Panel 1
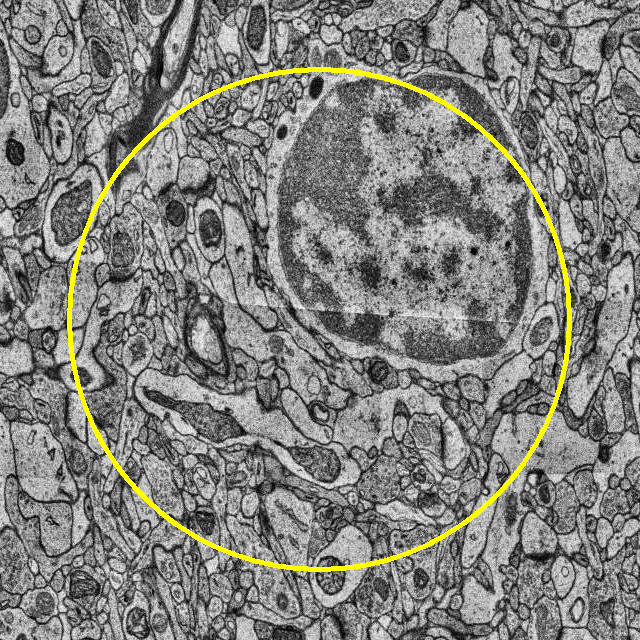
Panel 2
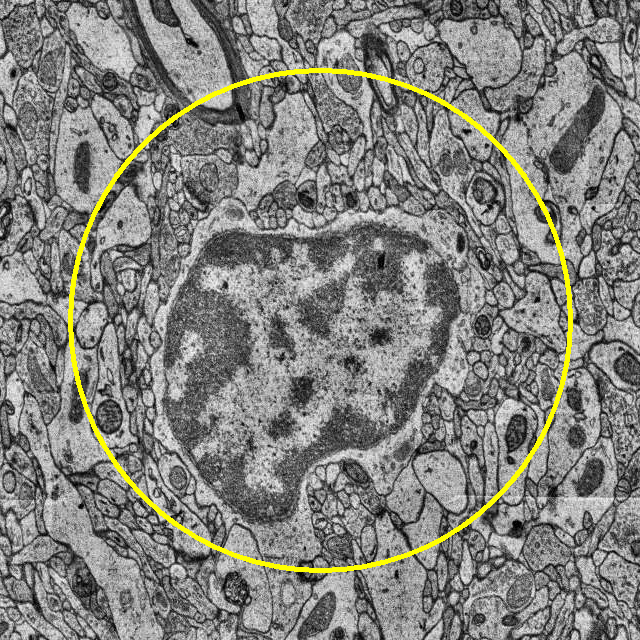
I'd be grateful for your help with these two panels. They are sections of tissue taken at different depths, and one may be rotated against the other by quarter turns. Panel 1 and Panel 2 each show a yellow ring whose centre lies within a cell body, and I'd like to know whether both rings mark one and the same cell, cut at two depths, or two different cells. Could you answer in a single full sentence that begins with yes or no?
Yes, the two yellow circles hold the same cell.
